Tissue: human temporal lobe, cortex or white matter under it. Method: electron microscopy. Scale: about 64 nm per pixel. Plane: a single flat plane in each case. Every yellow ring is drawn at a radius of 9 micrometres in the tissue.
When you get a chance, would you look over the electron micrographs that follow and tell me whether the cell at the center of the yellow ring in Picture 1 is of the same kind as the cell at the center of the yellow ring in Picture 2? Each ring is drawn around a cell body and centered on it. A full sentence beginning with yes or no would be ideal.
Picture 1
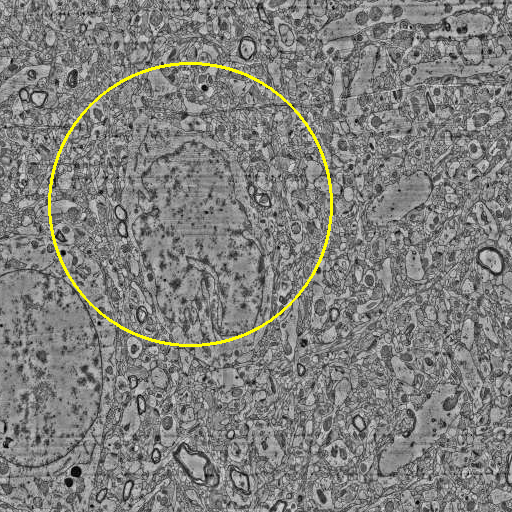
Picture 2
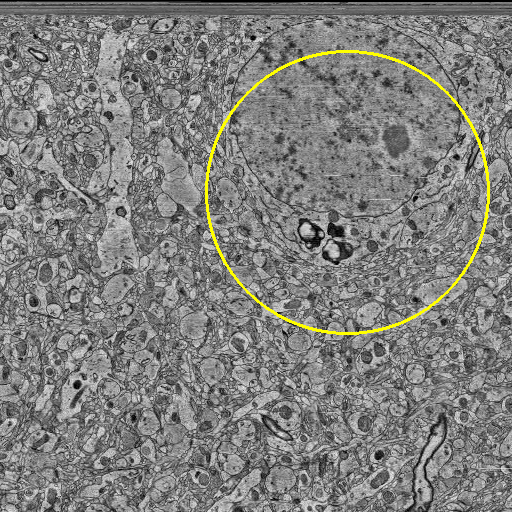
No, they are two kinds of cell.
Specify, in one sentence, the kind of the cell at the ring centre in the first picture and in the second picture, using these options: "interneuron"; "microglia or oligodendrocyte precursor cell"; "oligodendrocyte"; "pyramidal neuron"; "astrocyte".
So the first is an interneuron, the second a pyramidal neuron.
